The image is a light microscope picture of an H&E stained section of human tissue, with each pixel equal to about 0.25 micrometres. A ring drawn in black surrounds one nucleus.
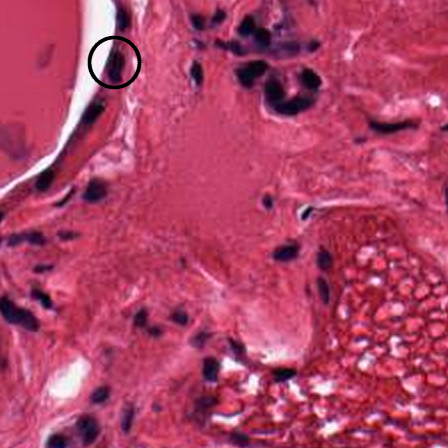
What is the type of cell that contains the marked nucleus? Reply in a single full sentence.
The nucleus bearing the mark belongs to a thyroid follicular cell.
